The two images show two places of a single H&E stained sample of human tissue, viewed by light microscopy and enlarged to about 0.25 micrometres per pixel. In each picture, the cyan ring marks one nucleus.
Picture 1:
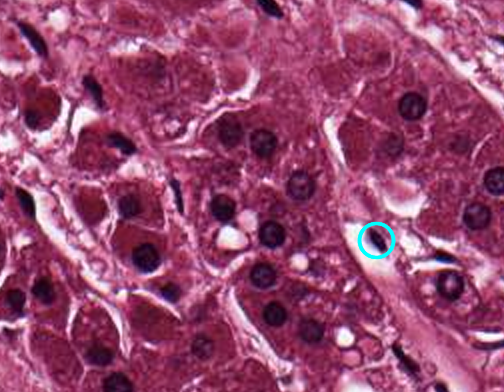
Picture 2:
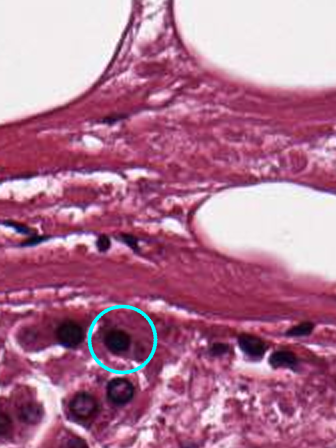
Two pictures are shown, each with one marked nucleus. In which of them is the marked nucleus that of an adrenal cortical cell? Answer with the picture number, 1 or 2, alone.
2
